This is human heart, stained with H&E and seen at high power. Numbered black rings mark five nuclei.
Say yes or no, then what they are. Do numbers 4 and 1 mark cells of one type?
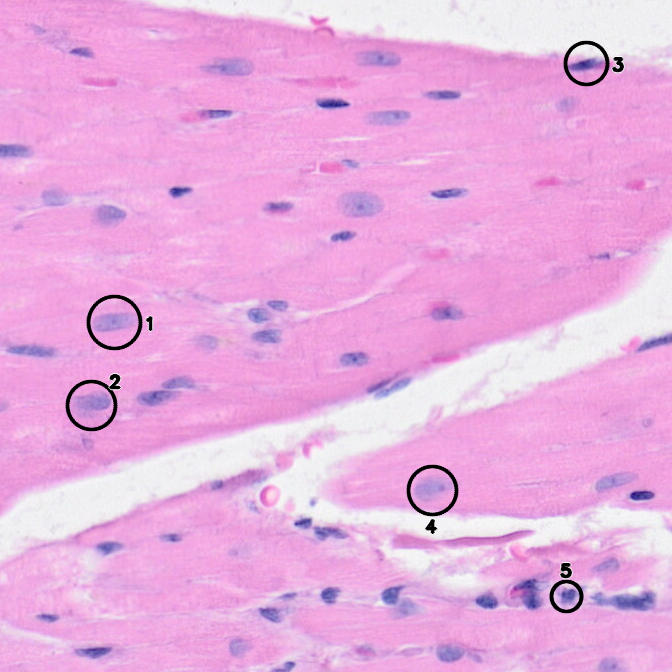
Yes, the pair of cells 4 and 1 are both cardiomyocytes.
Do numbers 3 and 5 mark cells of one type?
No, cell 3 is categorized as an endothelial cell, while cell 5 is categorized as a fibroblast.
